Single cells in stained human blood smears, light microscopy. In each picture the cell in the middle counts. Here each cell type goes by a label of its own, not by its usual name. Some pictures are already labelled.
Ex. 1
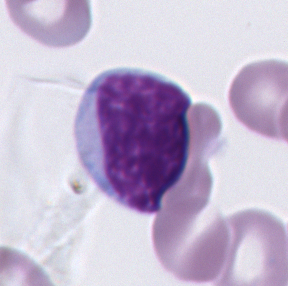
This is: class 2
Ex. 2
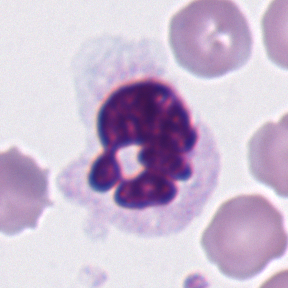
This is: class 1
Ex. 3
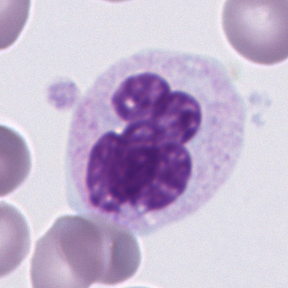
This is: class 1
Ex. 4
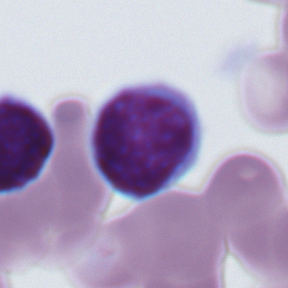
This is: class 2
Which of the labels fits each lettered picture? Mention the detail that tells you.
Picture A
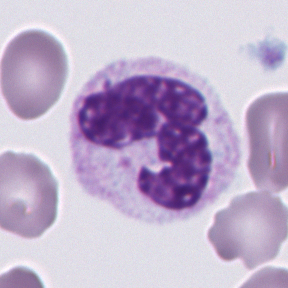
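class 1: The cytoplasm is abundant and pale pinkish-lilac.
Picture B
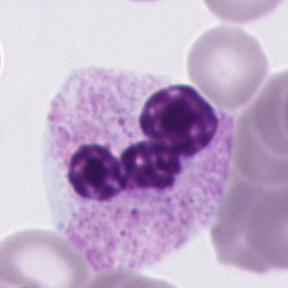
class 1: The nucleus is divided into three lobes joined in a chain.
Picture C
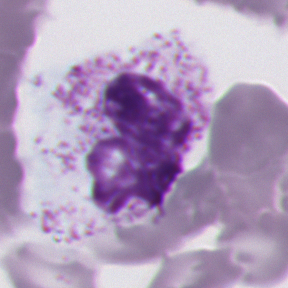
class 1: The cytoplasm between the granules is pale and nearly colourless.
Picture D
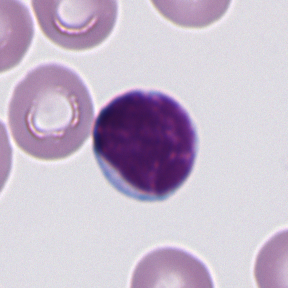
class 2: The cytoplasm is a scant pale blue crescent, widest at the lower left of the cell.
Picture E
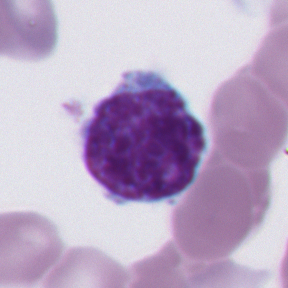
class 2: The cytoplasm is very scant, forming only a thin rim around most of the nucleus.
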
